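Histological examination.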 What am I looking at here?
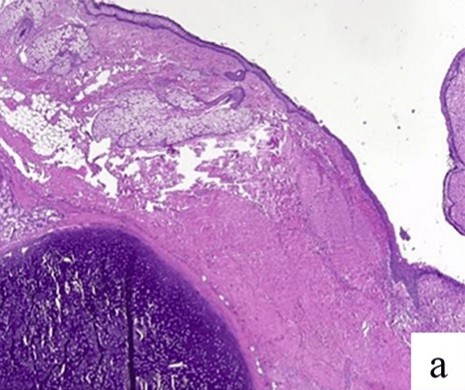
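At low power a thin layered epithelium covers the top surface, and beneath it the dermis holds pale lobulated clusters of vacuolated cells beside follicle-like structures. Deeper lies dense pink collagenous tissue with loose, torn areas, and at the lower left a sharply bordered, very dark purple rounded mass. This is skin-type tissue in which hair follicles and sebaceous glands are attached to stratified pavement epithelium, with a dense basophilic fragment in the depth.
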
